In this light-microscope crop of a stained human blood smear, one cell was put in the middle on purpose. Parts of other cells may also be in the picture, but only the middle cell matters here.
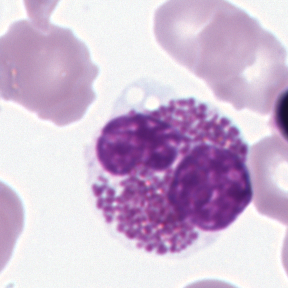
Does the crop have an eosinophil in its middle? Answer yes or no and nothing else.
yes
